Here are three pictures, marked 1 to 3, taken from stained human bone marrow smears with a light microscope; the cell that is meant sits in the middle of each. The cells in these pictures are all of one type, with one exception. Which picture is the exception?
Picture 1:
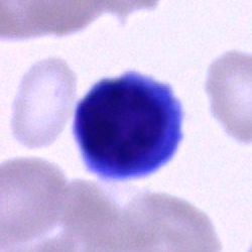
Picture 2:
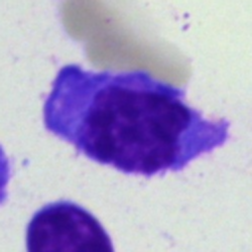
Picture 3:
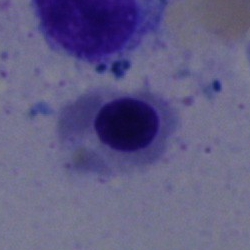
2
